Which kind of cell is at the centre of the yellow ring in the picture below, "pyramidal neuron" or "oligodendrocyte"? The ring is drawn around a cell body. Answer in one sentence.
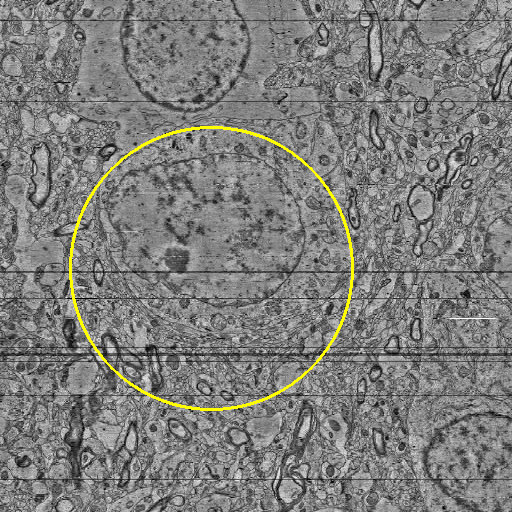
The ring's central cell is a pyramidal neuron.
